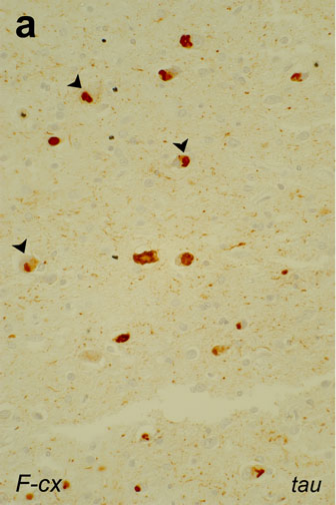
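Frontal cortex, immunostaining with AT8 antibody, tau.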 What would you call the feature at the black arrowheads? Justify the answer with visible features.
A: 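Each body lies within a cell body among fine brown threads in the background. That points to this answer: Pick bodies.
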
